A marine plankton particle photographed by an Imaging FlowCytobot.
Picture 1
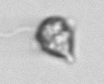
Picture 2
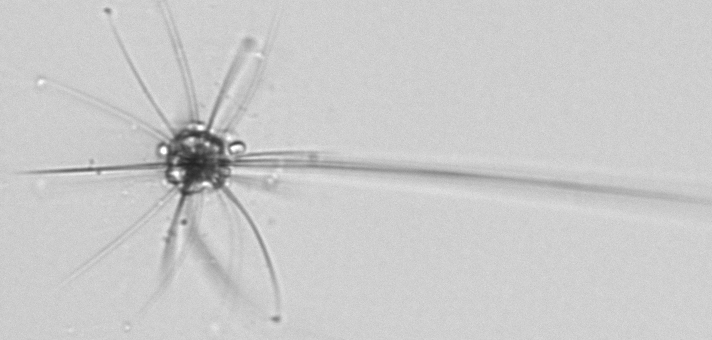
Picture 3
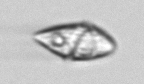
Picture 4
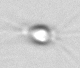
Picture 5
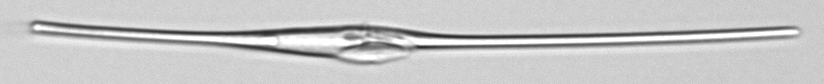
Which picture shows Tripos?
Picture 5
